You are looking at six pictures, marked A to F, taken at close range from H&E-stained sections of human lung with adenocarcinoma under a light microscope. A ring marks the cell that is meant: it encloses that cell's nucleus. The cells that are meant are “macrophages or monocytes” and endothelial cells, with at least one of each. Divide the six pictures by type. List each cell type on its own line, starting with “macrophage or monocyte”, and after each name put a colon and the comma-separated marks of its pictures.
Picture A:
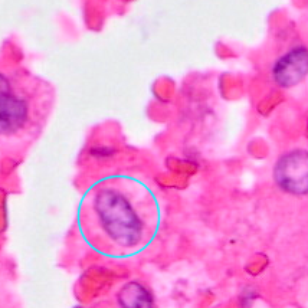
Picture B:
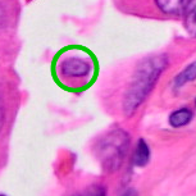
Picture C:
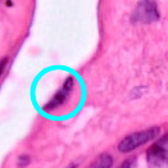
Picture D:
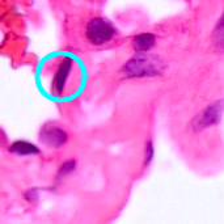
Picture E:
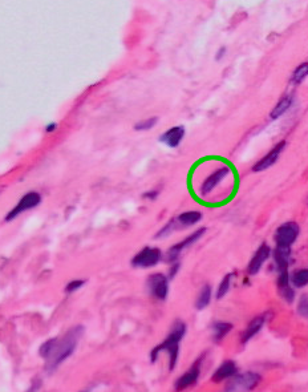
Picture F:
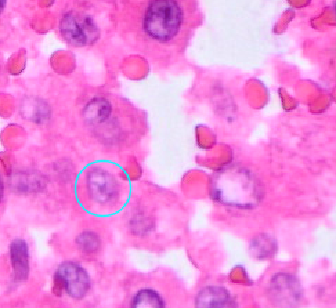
macrophage or monocyte: A, B, F
endothelial cell: C, D, E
